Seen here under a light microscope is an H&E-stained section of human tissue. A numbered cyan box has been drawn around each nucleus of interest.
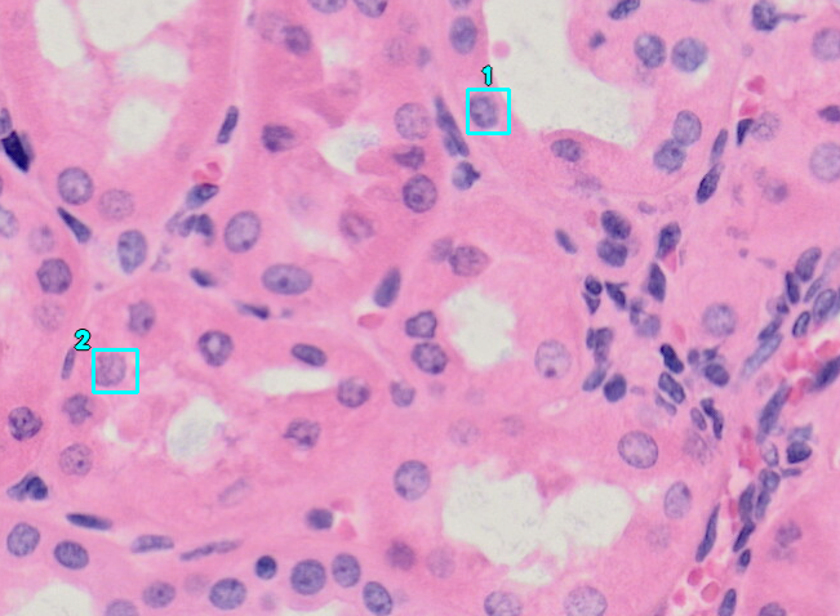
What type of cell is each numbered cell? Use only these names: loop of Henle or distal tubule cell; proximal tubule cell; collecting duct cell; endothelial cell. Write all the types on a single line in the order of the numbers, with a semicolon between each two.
loop of Henle or distal tubule cell; proximal tubule cell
